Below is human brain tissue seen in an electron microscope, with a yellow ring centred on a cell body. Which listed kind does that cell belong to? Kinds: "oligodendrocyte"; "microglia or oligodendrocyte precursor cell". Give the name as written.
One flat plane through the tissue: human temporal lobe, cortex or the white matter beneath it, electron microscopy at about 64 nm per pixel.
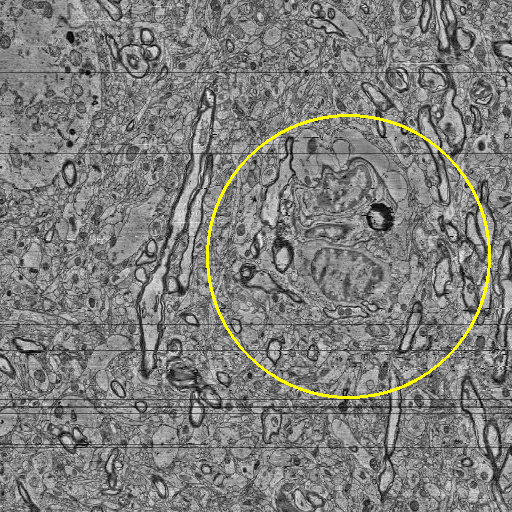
oligodendrocyte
